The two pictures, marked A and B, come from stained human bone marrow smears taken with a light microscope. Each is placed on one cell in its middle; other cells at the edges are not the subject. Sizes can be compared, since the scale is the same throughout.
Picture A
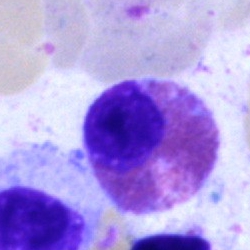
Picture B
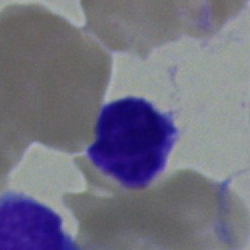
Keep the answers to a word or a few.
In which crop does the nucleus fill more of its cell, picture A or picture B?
B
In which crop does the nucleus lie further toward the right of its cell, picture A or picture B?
B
